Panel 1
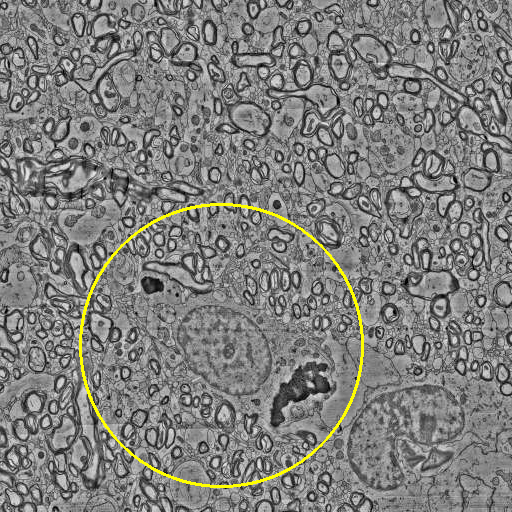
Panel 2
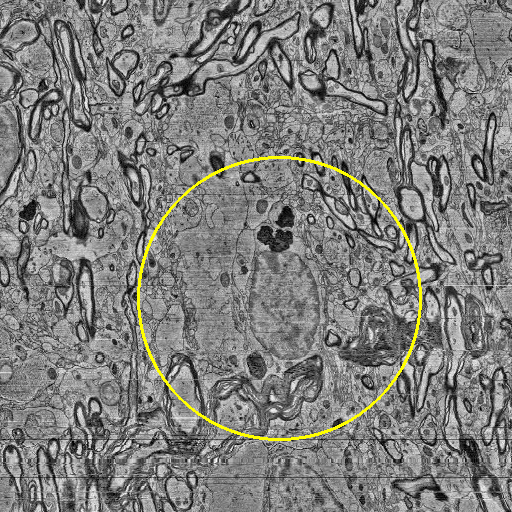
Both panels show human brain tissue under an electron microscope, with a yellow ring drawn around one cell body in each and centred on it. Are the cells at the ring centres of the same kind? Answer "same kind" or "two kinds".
same kind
